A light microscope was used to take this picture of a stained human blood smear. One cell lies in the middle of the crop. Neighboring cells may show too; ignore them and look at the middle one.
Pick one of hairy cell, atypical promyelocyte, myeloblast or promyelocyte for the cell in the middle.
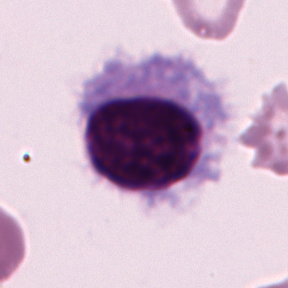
hairy cell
